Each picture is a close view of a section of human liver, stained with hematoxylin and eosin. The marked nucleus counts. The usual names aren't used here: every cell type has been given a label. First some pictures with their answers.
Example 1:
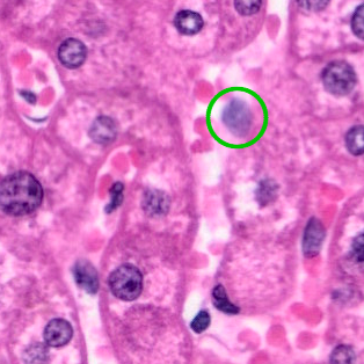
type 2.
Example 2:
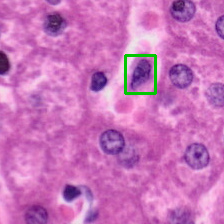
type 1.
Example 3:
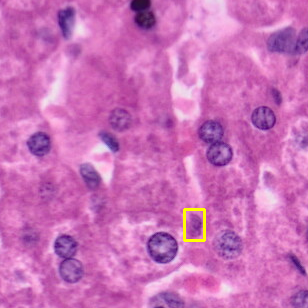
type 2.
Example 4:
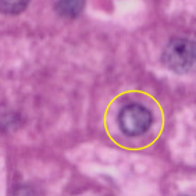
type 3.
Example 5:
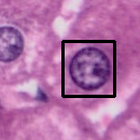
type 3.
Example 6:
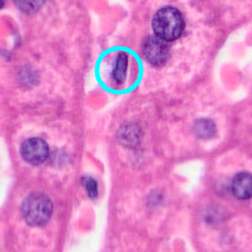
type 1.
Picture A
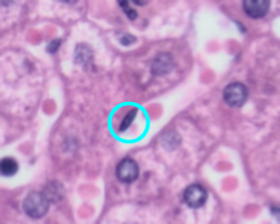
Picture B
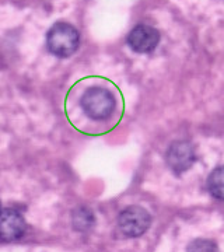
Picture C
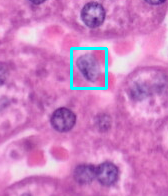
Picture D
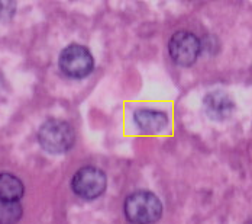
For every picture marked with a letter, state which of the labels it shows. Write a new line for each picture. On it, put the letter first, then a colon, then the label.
A: type 2.
B: type 3.
C: type 2.
D: type 1.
